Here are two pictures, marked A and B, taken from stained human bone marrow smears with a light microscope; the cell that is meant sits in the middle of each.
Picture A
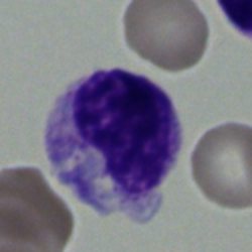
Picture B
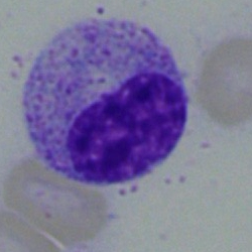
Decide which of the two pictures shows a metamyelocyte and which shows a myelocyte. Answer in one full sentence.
The cell in picture A is a metamyelocyte, and the one in picture B is a myelocyte.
